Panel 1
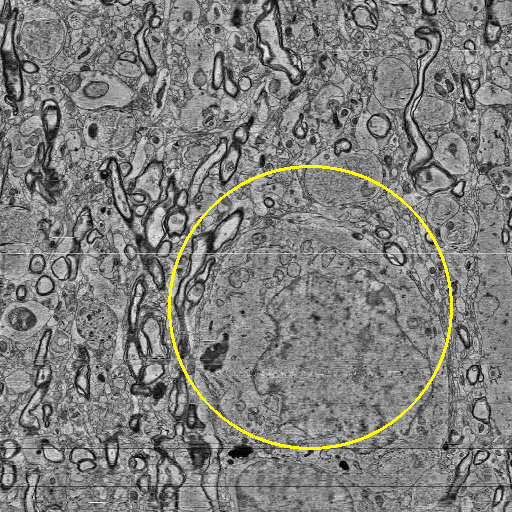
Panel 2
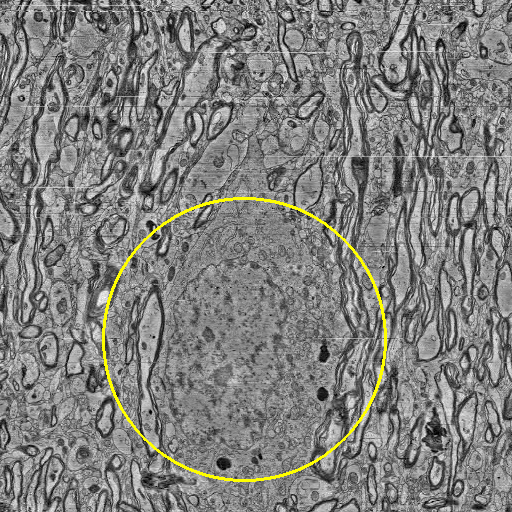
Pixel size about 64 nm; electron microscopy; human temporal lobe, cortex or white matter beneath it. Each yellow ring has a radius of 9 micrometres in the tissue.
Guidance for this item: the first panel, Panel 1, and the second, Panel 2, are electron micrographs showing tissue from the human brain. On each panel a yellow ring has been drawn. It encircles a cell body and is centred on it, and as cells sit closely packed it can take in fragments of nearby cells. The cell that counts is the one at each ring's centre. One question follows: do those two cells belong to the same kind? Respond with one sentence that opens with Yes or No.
Yes, the cells at the ring centres in Panel 1 and Panel 2 are of one kind.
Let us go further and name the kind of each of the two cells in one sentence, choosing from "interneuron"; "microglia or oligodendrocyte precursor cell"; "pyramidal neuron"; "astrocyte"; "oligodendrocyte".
The first and the second cell are each an interneuron.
